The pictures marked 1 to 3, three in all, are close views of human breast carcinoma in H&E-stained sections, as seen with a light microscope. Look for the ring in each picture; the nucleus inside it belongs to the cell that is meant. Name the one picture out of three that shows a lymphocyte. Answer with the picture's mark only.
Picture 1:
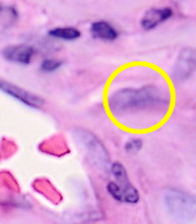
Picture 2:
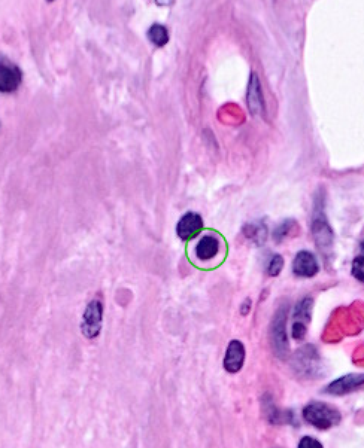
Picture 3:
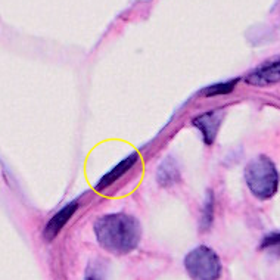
2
